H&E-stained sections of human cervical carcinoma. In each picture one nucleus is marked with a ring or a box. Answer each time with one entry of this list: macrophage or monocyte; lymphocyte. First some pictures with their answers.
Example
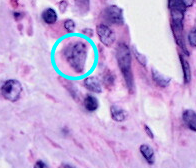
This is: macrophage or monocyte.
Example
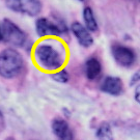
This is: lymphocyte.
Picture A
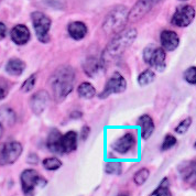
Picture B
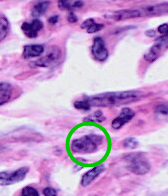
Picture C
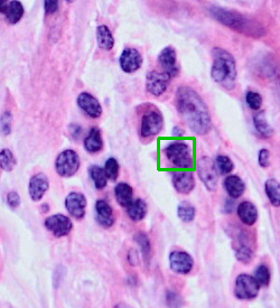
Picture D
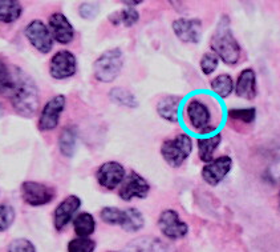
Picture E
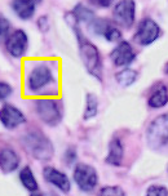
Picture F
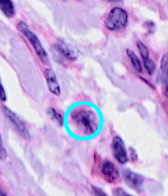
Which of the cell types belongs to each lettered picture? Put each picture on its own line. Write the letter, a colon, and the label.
A: lymphocyte.
B: macrophage or monocyte.
C: lymphocyte.
D: lymphocyte.
E: lymphocyte.
F: macrophage or monocyte.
